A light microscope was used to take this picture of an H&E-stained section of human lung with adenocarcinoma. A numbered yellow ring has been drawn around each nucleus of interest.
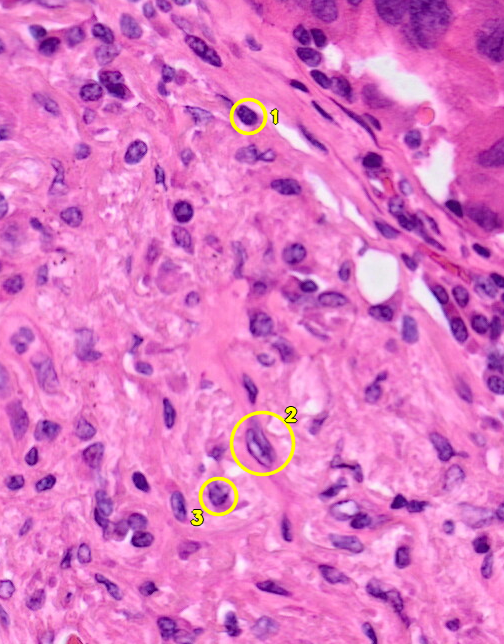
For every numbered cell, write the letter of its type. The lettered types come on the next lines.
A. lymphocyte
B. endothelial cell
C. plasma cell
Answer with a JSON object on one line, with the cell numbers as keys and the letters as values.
{"1": "A", "2": "B", "3": "C"}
